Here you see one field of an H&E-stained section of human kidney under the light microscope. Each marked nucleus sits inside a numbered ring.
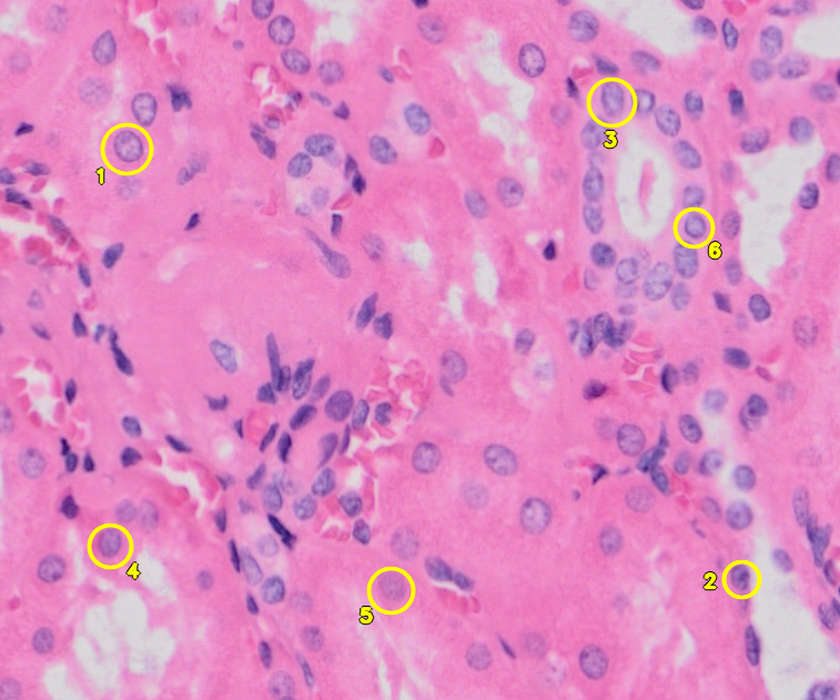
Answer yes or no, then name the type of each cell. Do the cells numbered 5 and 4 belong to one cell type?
Yes, cells 5 and 4 both belong among the proximal tubule cells.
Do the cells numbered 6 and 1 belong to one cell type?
No, cell 6 is recognized as a collecting duct cell, and cell 1 as a proximal tubule cell.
